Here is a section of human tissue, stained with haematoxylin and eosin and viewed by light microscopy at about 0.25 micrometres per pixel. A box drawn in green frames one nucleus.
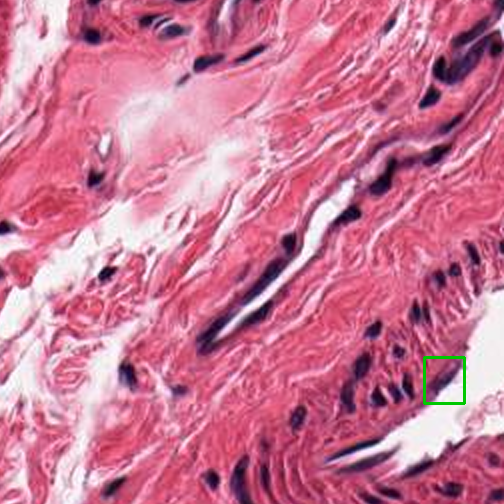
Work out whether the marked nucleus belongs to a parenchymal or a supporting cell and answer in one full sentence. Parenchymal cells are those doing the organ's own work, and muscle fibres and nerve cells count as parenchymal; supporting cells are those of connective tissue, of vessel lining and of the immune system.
The marked nucleus is located within a supporting cell.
